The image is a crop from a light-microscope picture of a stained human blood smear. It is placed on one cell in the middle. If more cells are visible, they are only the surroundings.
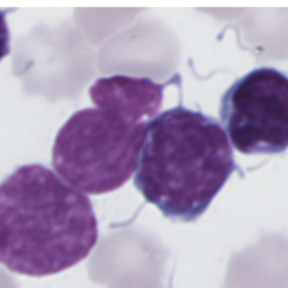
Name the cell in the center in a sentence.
Occupying the centre of the crop is a myeloblast.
